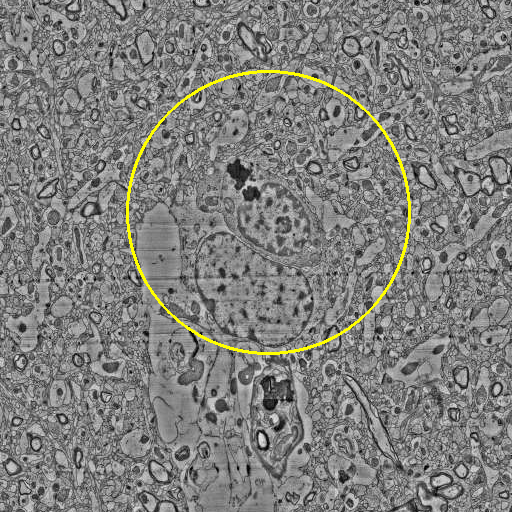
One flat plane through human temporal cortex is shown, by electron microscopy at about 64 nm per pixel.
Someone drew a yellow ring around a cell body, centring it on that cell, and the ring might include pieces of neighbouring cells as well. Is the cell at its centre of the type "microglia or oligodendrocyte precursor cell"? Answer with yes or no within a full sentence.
No, within the picture, the cell the ring is centred on is a different type.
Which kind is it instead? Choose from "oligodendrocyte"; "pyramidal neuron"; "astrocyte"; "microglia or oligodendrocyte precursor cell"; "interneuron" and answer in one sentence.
This picture has an oligodendrocyte at the centre of its ring.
